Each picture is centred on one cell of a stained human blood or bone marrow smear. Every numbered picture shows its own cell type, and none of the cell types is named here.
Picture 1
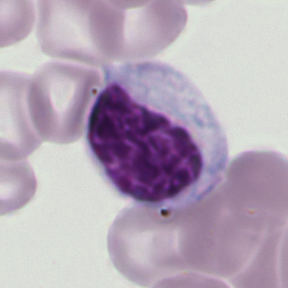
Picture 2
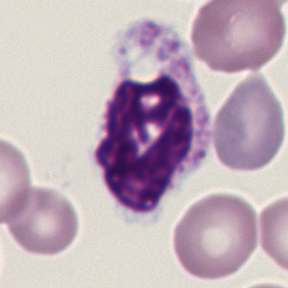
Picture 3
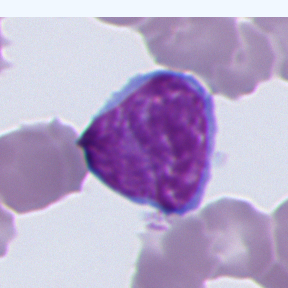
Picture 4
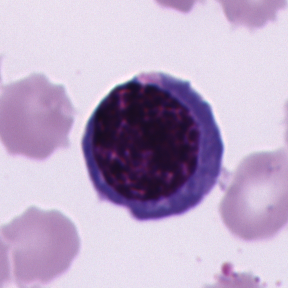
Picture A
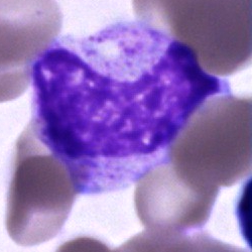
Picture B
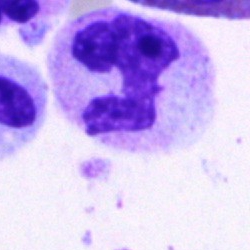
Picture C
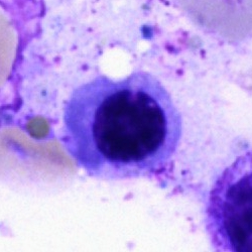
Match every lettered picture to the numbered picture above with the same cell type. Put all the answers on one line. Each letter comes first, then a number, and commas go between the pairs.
A 1, B 2, C 4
